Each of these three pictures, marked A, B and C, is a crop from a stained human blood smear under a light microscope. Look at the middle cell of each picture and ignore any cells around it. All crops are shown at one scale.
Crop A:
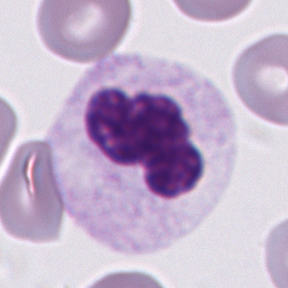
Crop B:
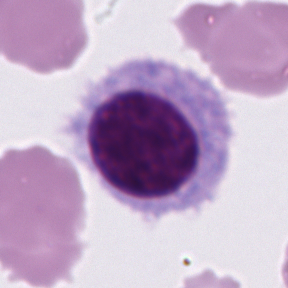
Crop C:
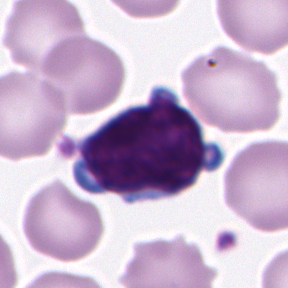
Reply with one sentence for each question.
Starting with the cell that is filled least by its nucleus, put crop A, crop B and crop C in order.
They run A, B, C, the least filled first.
